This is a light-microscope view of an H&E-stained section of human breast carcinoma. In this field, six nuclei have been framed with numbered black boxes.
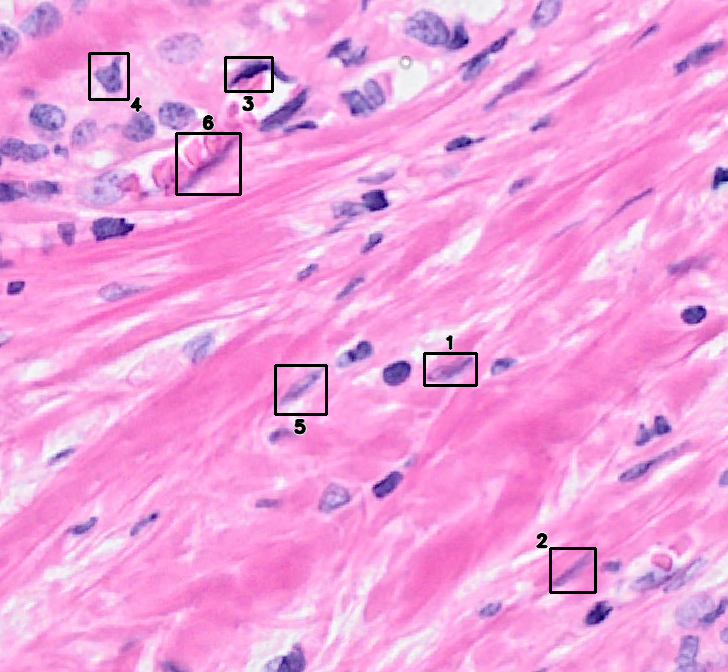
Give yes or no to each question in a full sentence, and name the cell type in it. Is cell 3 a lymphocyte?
No, cell 3 is not a lymphocyte; an endothelial cell is correct.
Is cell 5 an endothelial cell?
No, number 5 does not mark an endothelial cell; it marks a fibroblast.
